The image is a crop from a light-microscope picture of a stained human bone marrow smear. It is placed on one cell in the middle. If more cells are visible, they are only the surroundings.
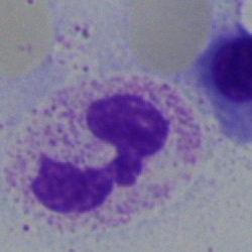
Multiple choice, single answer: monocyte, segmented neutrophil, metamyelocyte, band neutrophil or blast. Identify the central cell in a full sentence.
To answer, the cell in the center of the crop is a segmented neutrophil.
